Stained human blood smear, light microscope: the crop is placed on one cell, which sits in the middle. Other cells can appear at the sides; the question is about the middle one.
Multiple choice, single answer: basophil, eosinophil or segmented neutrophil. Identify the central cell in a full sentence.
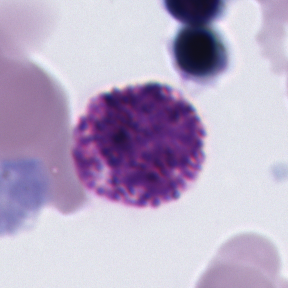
For this crop, the cell in the middle is a basophil.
